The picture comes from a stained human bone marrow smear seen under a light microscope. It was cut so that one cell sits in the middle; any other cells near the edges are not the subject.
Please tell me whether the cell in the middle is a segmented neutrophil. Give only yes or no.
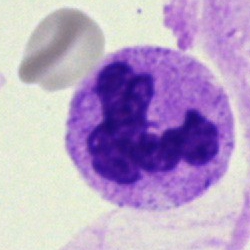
yes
